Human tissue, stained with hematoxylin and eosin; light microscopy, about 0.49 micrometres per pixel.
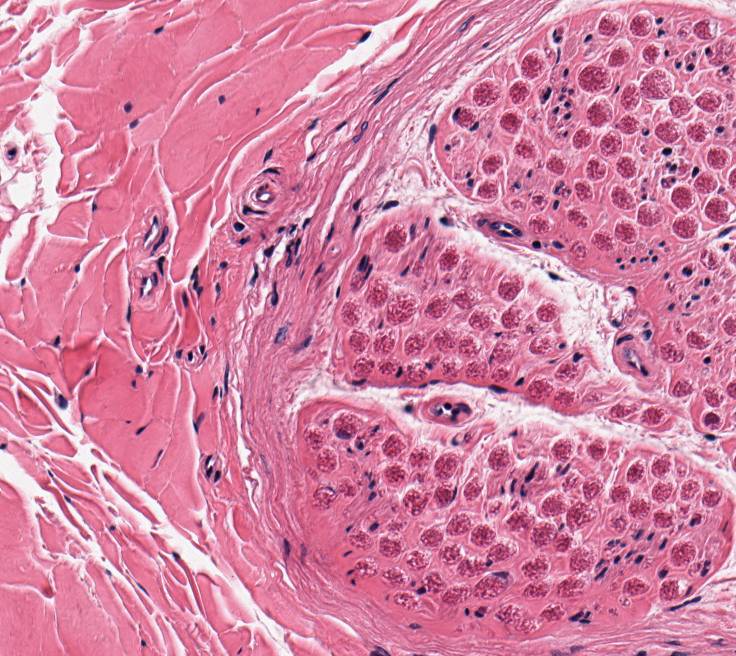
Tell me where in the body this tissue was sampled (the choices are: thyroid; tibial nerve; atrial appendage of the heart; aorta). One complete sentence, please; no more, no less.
The source of this tissue sample is the tibial nerve.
